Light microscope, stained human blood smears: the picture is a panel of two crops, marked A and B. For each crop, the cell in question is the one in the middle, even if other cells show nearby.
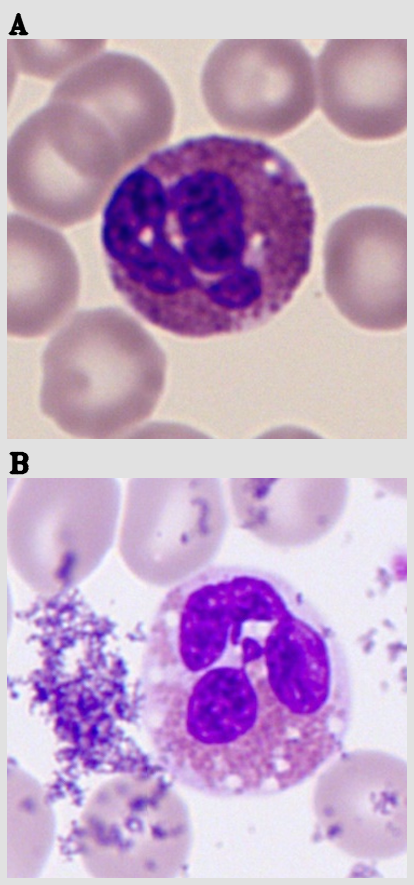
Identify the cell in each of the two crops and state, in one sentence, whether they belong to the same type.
Yes, both crops show eosinophils, each crop centred on one of them.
